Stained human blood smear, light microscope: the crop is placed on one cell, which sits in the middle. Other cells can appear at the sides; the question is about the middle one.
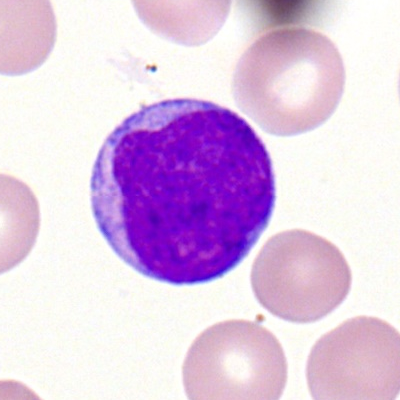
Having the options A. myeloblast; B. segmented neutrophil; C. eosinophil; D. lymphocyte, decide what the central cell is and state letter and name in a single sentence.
The cell placed in the middle is a myeloblast; option A is correct.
